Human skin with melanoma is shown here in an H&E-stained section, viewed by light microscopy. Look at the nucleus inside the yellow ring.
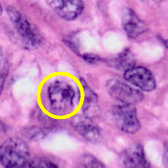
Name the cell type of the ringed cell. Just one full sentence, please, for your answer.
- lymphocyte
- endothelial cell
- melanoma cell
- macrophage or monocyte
Histopathologically, the ringed cell is a melanoma cell.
